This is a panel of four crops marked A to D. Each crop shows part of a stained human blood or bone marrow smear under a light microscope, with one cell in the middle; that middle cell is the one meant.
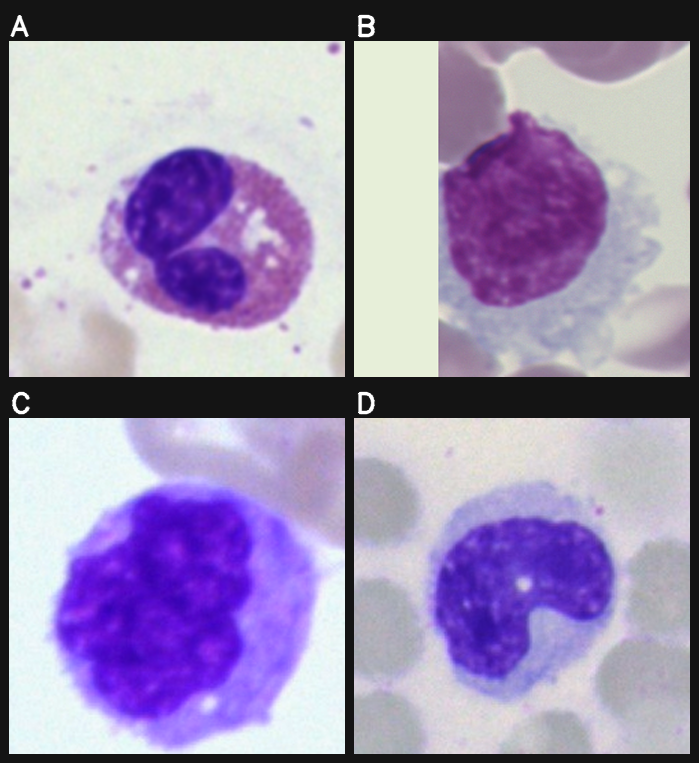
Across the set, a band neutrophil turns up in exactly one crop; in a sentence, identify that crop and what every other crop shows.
In crop D the cell is a band neutrophil, whereas crop A is an eosinophil, crop B is a hairy cell and crop C is a monocyte.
